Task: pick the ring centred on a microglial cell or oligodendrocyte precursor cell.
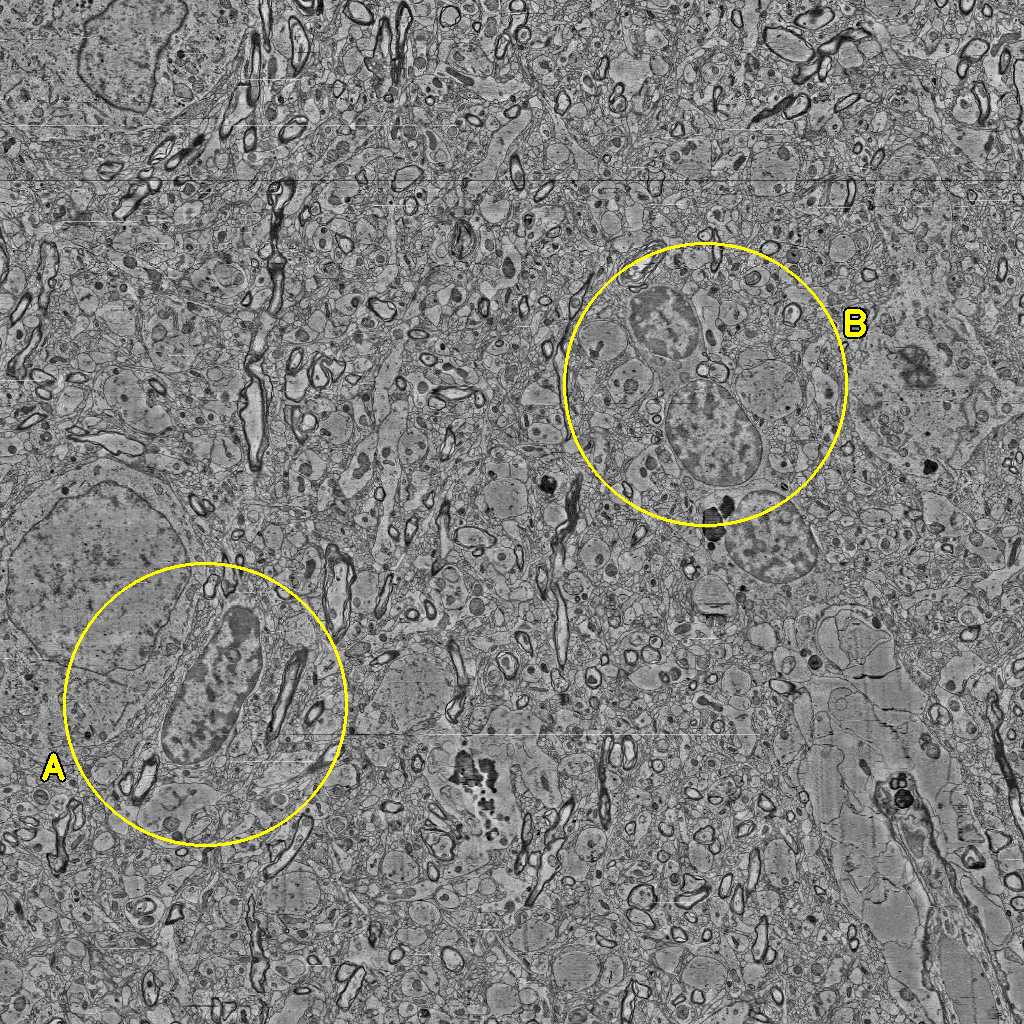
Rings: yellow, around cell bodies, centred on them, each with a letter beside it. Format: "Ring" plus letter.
Ring A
